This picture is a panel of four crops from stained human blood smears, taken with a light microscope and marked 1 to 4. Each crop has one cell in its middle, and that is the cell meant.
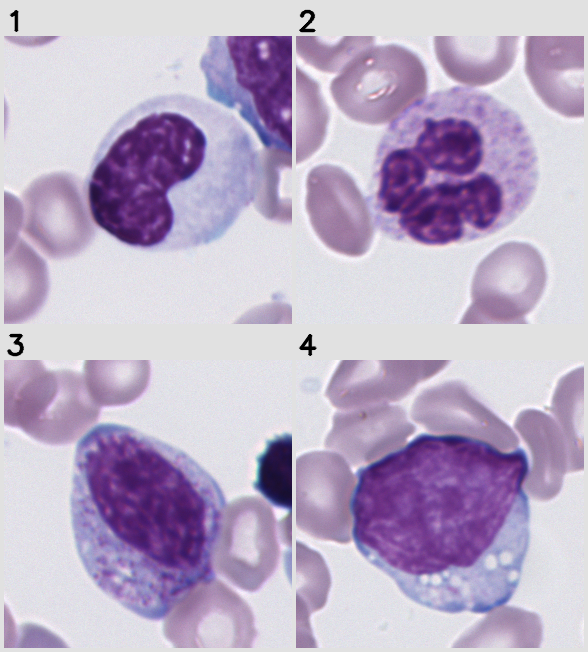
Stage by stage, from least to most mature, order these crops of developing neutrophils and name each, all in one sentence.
Listed from least to most mature, the crops read crop 4 (a myeloblast), crop 3 (a myelocyte), crop 1 (a band neutrophil) and crop 2 (a segmented neutrophil).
